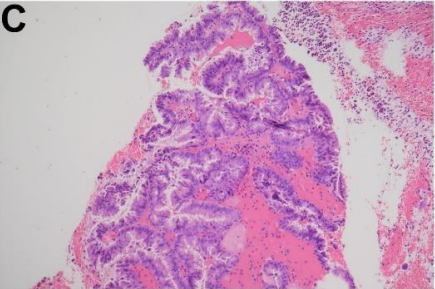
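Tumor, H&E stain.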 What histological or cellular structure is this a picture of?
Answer: Papillary and tubular glandular structure.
